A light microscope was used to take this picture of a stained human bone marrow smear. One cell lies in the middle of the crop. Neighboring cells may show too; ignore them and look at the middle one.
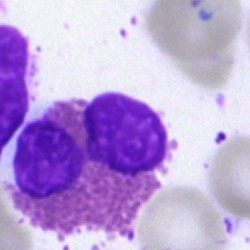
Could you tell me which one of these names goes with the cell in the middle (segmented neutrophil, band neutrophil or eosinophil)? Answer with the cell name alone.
eosinophil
